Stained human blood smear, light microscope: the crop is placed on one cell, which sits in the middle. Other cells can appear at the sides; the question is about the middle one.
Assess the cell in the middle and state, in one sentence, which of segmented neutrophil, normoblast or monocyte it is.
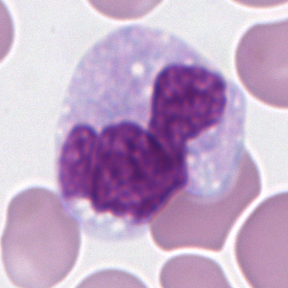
The cell at the middle of the crop is recognized as a monocyte.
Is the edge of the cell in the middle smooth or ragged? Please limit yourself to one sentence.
The edge of the cell is unbroken and smooth, bearing no projections.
